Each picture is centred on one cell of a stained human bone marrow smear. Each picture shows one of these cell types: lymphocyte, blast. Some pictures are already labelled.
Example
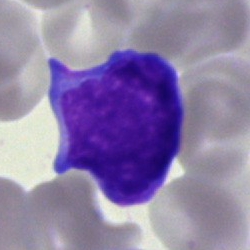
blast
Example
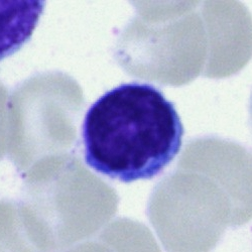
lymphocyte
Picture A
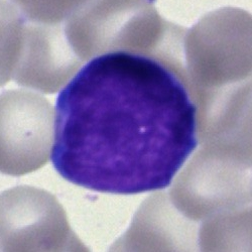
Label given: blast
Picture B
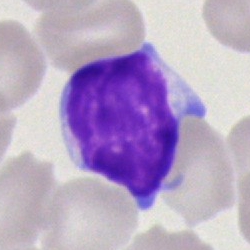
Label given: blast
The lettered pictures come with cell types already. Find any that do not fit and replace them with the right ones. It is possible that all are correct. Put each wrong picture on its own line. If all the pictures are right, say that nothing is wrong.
B is labelled blast; correct label: lymphocyte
